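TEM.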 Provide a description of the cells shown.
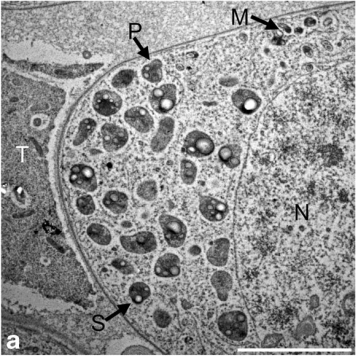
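Part of a microsporocyte is seen, with many oval plastids crowded together at one pole of the cell against the wall, a tapetal cell lying outside at the left. Many plastids contain pale rounded starch grains, and a few small mitochondria lie among them near the top. The large nucleus with finely granular chromatin fills the other side of the cell.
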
